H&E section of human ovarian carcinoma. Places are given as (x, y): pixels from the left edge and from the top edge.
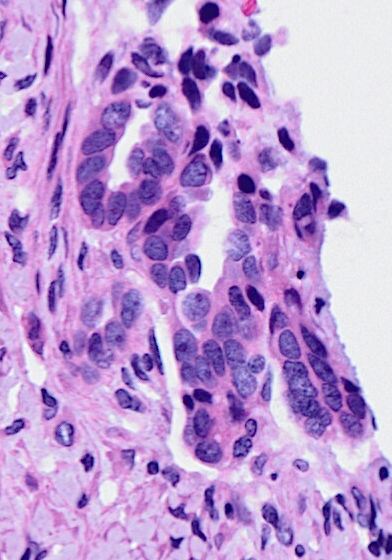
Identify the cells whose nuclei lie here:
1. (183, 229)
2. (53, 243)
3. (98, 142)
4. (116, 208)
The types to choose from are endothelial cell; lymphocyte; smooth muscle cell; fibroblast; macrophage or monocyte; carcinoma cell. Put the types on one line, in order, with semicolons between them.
carcinoma cell; fibroblast; carcinoma cell; carcinoma cell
